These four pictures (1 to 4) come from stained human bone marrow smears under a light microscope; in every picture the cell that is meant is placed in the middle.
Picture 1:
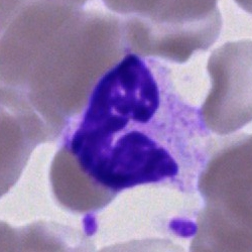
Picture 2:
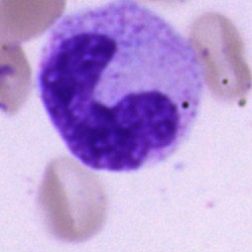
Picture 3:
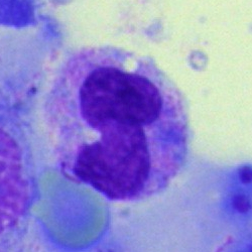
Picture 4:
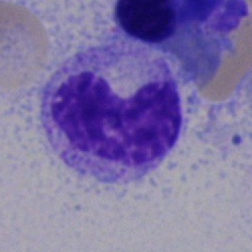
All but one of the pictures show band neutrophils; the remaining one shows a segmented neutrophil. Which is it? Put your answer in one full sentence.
It is picture 1 that shows the segmented neutrophil.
